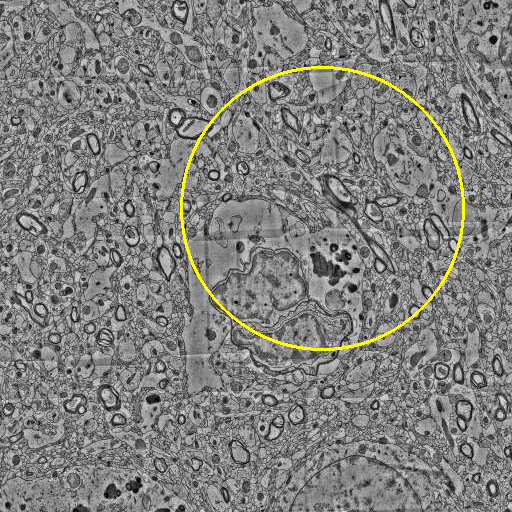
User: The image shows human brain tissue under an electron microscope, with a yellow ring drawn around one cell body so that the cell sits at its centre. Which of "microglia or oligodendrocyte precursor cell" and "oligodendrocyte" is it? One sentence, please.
At the centre of the ring sits a microglial cell or oligodendrocyte precursor cell.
